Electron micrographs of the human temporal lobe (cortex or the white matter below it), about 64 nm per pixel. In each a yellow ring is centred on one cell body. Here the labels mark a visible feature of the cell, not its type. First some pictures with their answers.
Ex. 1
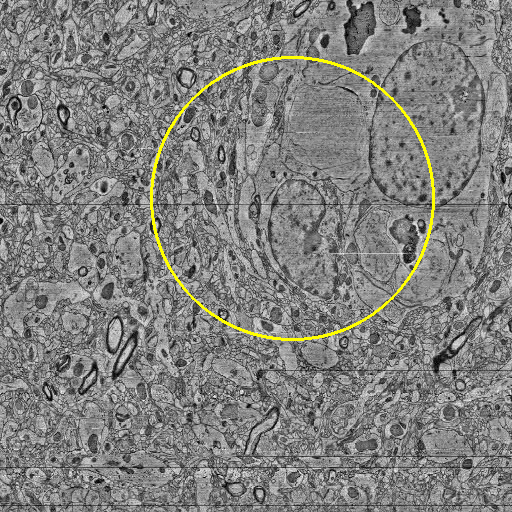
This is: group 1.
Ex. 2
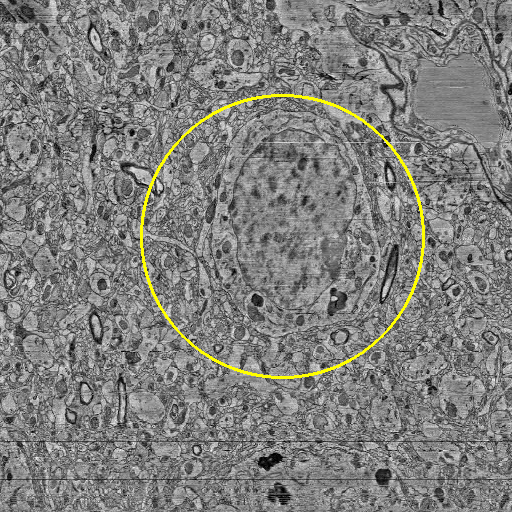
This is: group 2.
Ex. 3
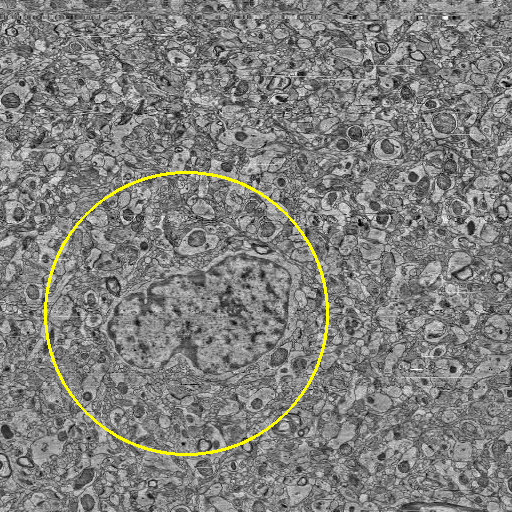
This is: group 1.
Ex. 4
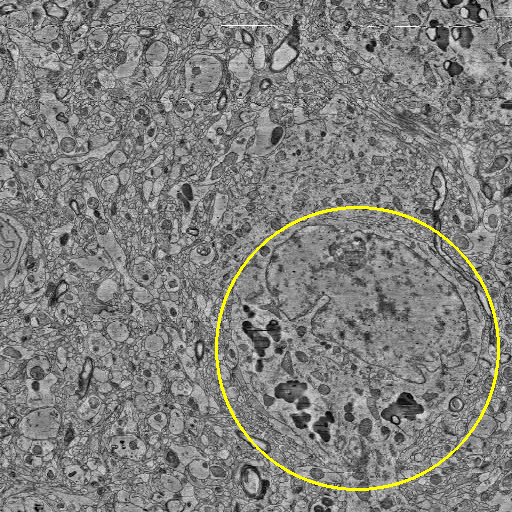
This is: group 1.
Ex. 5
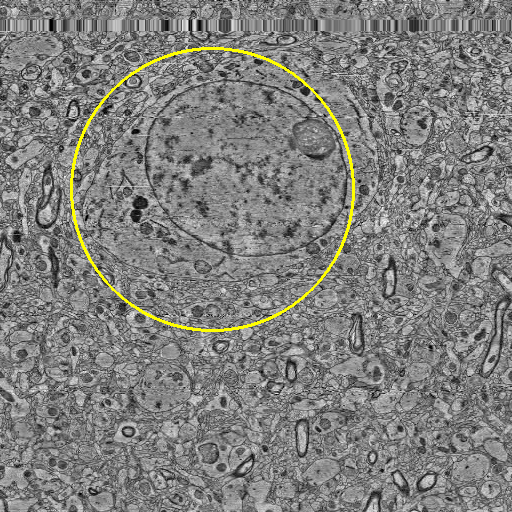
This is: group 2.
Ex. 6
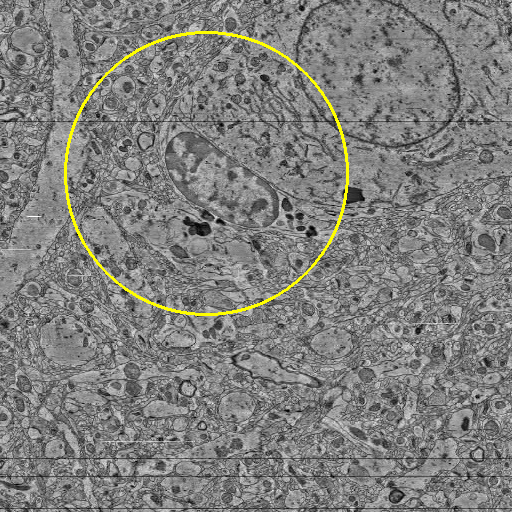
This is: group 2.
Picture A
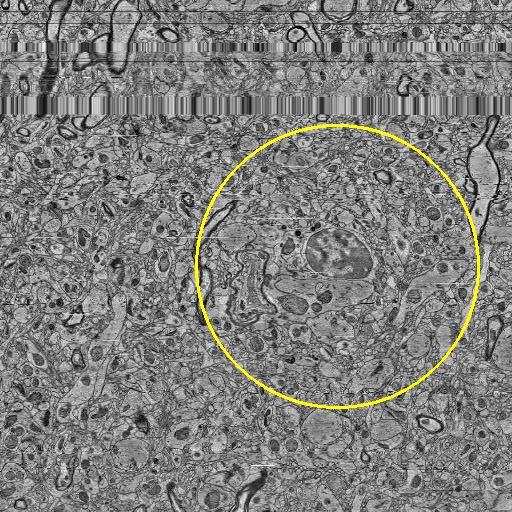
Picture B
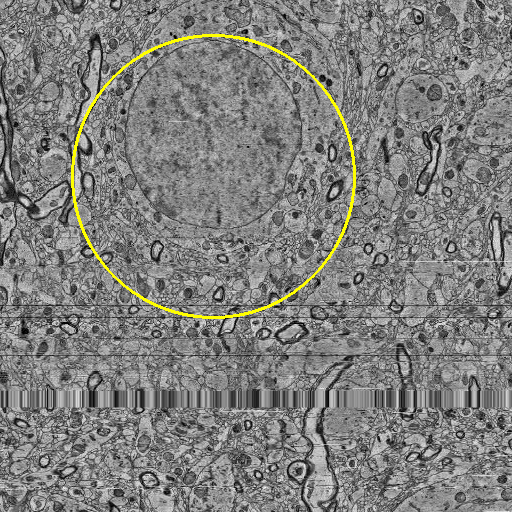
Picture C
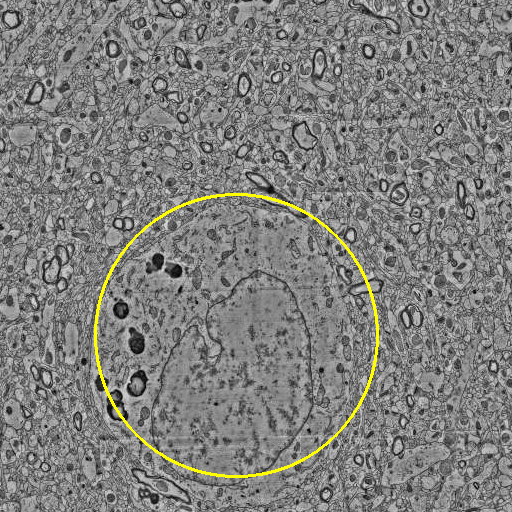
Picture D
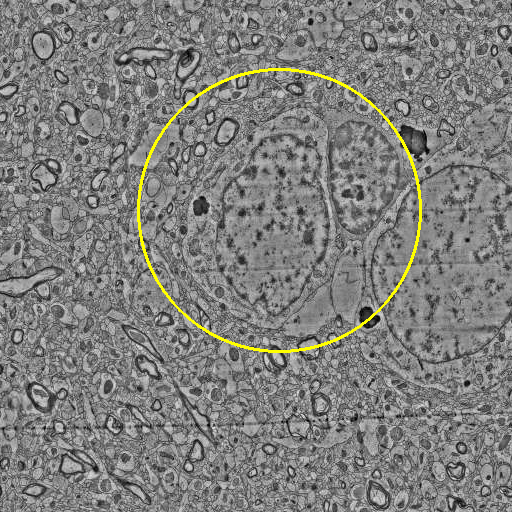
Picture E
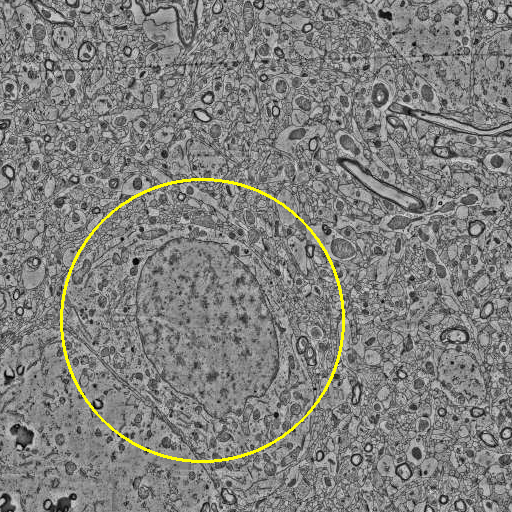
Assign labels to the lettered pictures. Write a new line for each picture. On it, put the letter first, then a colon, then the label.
A: group 2.
B: group 2.
C: group 1.
D: group 2.
E: group 2.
